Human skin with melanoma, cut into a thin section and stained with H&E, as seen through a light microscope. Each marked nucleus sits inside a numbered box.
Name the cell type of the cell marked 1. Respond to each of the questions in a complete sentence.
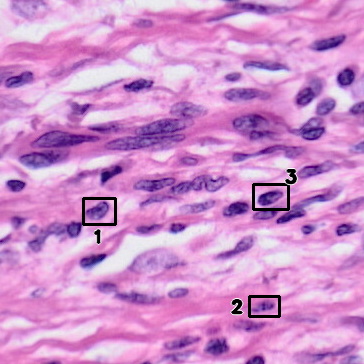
Identified by the number 1, the cell is a lymphocyte.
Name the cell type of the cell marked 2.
Cell 2 of the marked set is a plasma cell.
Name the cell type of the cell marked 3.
In this section, number 3 marks a lymphocyte.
